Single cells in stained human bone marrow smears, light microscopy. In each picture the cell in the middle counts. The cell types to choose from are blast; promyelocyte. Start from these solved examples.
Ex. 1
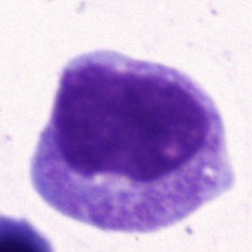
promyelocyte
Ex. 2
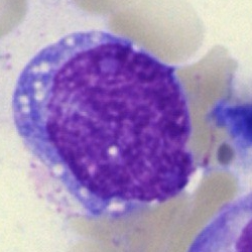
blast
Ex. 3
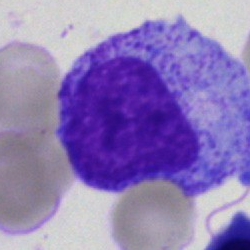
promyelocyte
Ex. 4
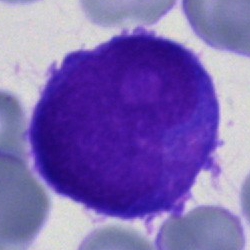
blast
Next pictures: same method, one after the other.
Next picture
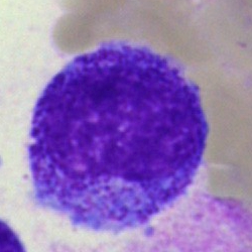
promyelocyte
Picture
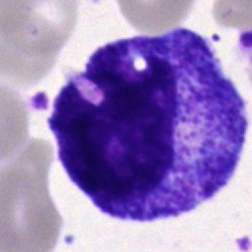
promyelocyte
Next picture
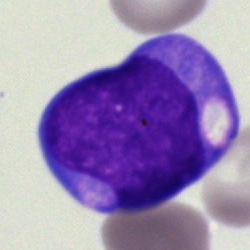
blast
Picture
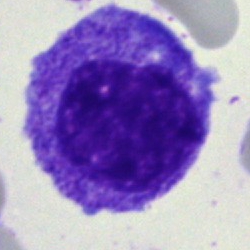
promyelocyte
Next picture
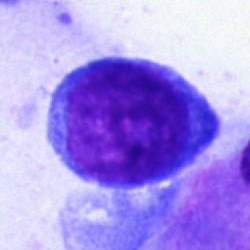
blast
